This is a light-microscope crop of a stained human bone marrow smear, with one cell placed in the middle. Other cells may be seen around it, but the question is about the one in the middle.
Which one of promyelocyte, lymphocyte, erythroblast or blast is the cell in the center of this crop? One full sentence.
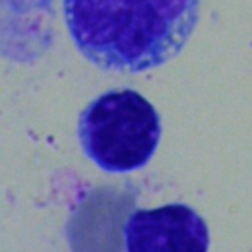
The crop shows a lymphocyte in its centre.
